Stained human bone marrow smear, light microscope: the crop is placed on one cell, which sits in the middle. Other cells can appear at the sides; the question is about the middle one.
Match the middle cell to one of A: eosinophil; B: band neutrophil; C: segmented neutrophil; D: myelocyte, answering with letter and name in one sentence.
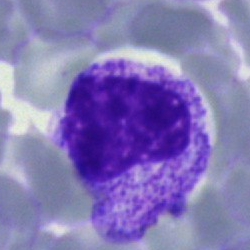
Of the options given, D is correct, the central cell being a myelocyte.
